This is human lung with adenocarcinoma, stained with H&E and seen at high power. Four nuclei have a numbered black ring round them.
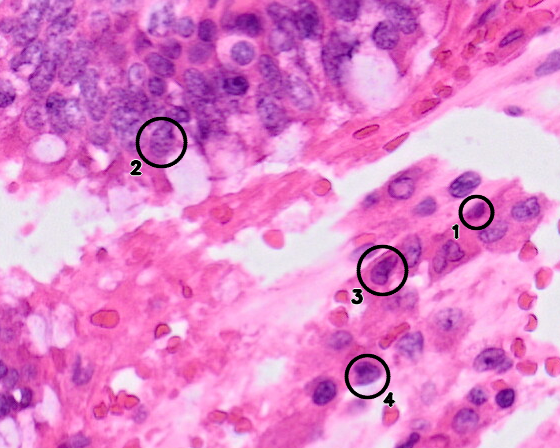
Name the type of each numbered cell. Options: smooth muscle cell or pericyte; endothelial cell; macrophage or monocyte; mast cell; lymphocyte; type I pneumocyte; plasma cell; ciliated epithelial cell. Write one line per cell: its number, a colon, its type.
1: macrophage or monocyte
2: ciliated epithelial cell
3: macrophage or monocyte
4: macrophage or monocyte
